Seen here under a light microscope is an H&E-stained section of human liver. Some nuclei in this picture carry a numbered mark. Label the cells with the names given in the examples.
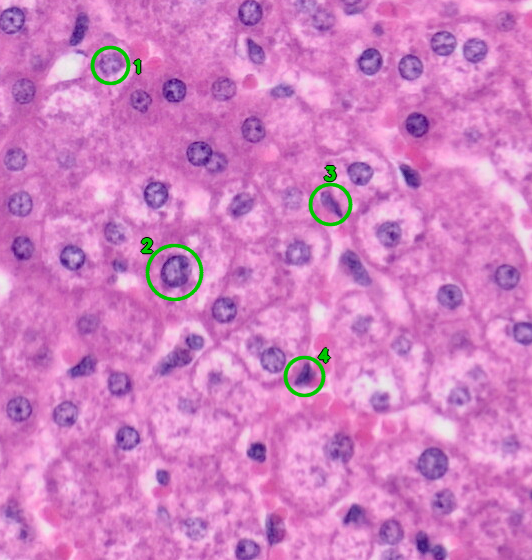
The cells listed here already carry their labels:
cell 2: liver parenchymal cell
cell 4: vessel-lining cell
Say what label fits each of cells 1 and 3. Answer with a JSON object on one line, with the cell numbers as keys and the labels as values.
{"1": "liver parenchymal cell", "3": "vessel-lining cell"}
